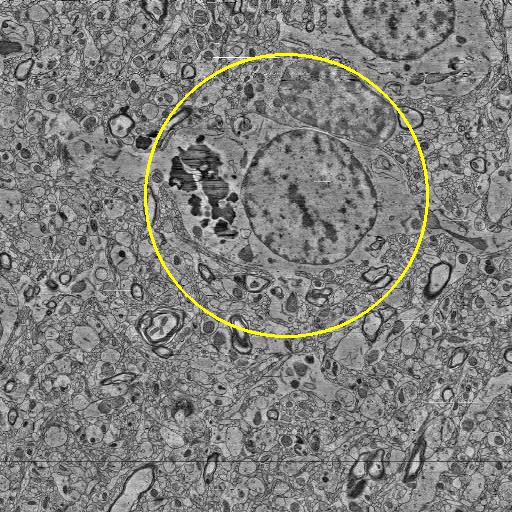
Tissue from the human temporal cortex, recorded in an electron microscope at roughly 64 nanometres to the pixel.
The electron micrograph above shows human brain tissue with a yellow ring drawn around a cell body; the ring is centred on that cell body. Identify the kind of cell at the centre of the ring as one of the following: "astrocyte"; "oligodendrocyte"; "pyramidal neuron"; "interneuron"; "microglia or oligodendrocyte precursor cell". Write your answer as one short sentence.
The cell at the centre of the ring is an astrocyte.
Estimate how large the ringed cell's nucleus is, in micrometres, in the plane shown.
In this plane, the nucleus measures approximately 9 micrometres across.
